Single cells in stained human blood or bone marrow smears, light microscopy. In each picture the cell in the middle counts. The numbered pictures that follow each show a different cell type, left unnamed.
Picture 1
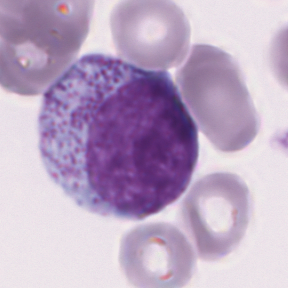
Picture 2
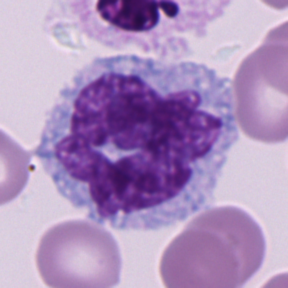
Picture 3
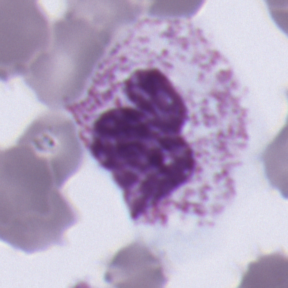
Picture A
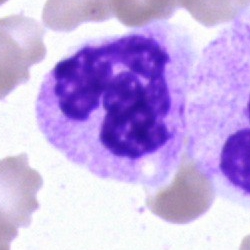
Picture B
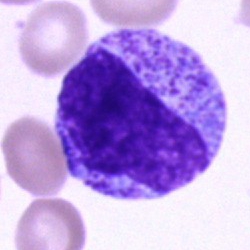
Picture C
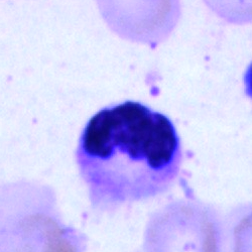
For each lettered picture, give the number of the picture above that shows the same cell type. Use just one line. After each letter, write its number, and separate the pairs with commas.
A 3, B 1, C 3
